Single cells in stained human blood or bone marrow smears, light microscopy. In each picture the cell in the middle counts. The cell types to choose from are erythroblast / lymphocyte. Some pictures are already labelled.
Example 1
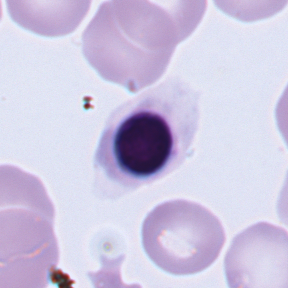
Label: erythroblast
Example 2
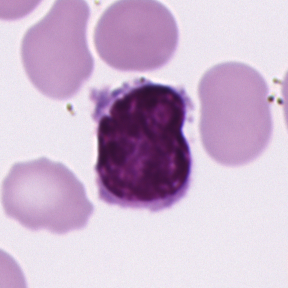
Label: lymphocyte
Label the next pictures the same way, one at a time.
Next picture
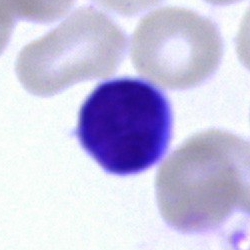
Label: lymphocyte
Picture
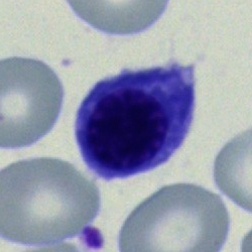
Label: erythroblast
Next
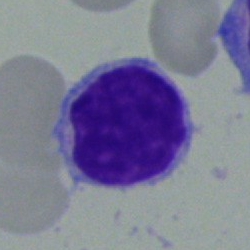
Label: lymphocyte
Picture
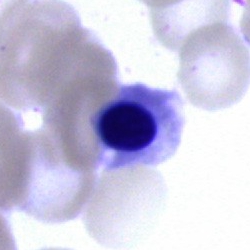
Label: erythroblast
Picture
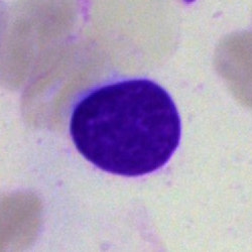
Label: lymphocyte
